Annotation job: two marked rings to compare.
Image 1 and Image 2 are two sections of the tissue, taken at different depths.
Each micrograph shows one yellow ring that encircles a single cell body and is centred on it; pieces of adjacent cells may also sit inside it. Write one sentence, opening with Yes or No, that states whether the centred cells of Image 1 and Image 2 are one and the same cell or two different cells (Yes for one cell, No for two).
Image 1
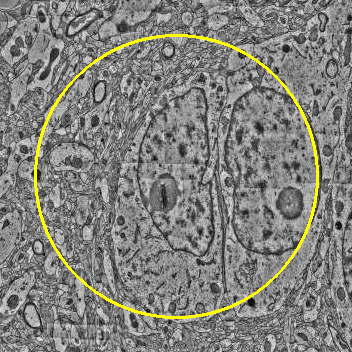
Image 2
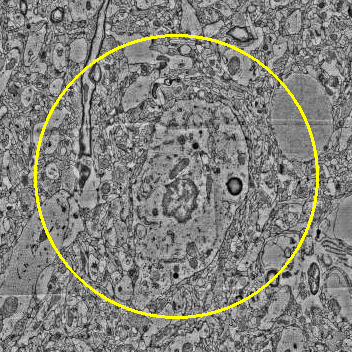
No, each yellow ring marks its own cell.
